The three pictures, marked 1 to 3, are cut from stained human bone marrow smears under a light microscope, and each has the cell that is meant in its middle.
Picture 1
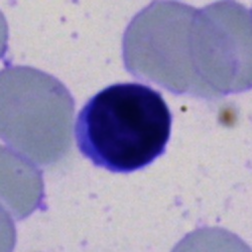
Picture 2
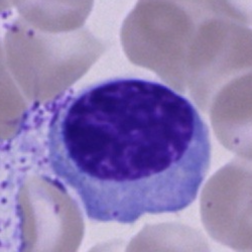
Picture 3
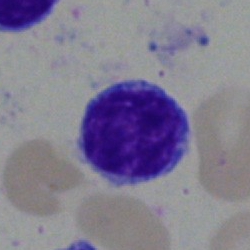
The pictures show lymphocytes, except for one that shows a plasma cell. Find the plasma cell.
2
